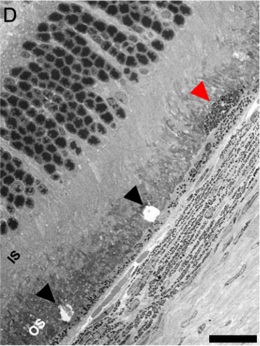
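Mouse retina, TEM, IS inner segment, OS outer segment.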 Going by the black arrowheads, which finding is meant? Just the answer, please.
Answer: Subretinal voids.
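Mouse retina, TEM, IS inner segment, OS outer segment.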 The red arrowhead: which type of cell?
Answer: subretinal pigment-containing cell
